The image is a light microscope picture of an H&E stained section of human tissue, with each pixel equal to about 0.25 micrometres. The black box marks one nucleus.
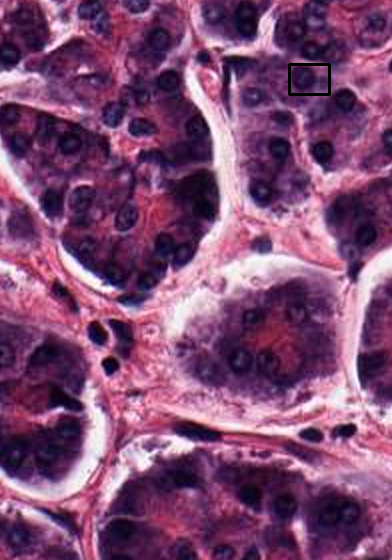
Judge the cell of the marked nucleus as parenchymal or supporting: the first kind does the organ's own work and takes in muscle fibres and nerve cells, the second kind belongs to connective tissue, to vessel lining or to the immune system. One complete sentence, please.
The marked nucleus is found in a parenchymal cell, namely a pancreatic acinar cell.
